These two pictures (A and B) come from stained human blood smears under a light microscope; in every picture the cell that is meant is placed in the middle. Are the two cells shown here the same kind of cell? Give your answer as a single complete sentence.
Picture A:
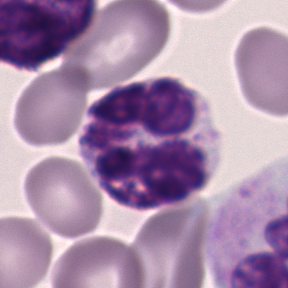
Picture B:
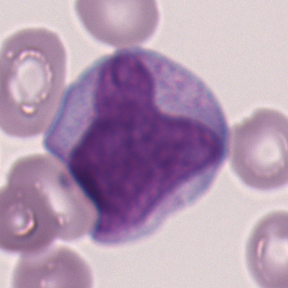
No. Picture A shows a basophil, but picture B shows an atypical promyelocyte.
